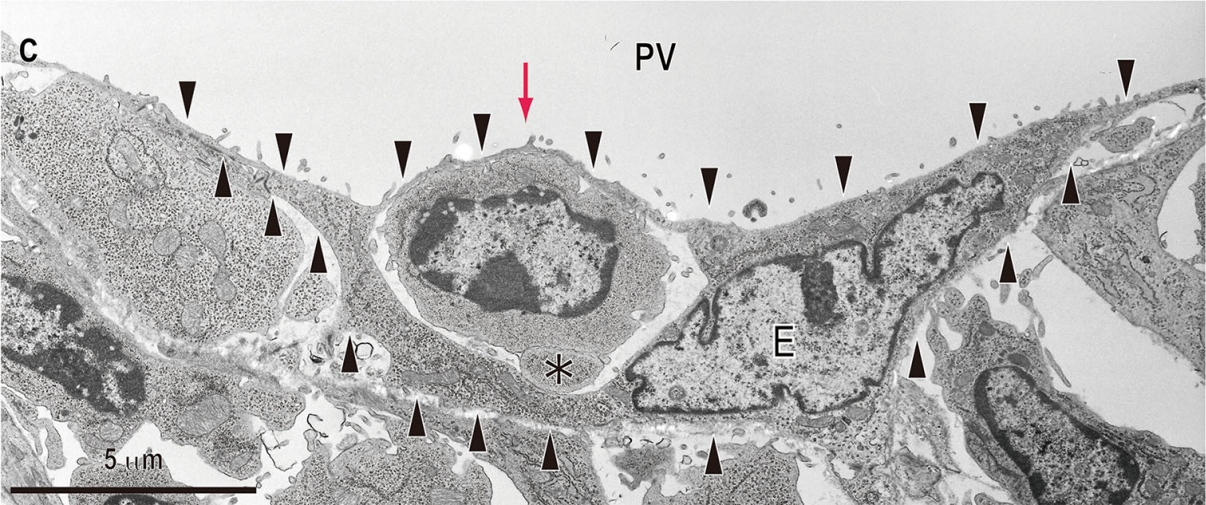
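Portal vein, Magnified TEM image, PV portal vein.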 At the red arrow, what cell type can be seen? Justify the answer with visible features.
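A small round cell with a large nucleus with clumped dark chromatin and a thin rim of cytoplasm. The cell lies enclosed within the thin flattened lining cell at the lumen.
Conclusion: lymphocyte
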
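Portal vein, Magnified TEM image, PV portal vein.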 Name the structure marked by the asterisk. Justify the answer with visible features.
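A small cytoplasmic bulge projects from the lower side of the round cell toward the underlying tissue.
Conclusion: protrusion at the leading edge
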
